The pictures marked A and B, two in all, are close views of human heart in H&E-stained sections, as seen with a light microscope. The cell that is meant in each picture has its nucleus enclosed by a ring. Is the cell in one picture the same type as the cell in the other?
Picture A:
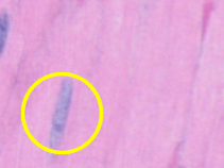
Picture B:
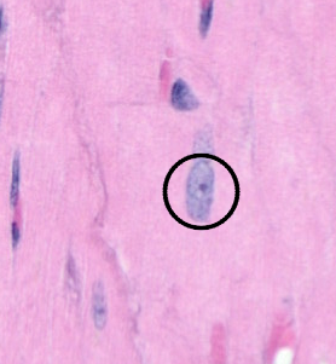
yes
